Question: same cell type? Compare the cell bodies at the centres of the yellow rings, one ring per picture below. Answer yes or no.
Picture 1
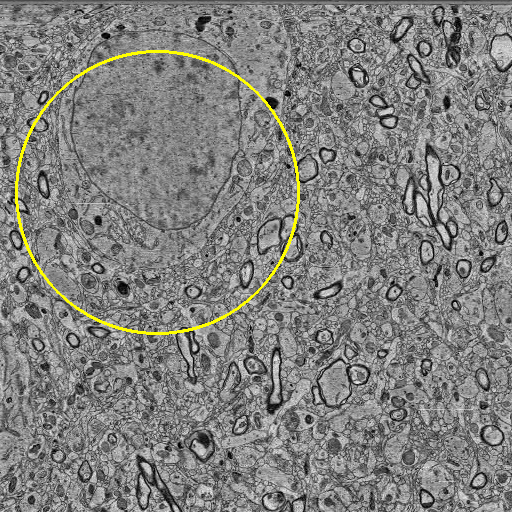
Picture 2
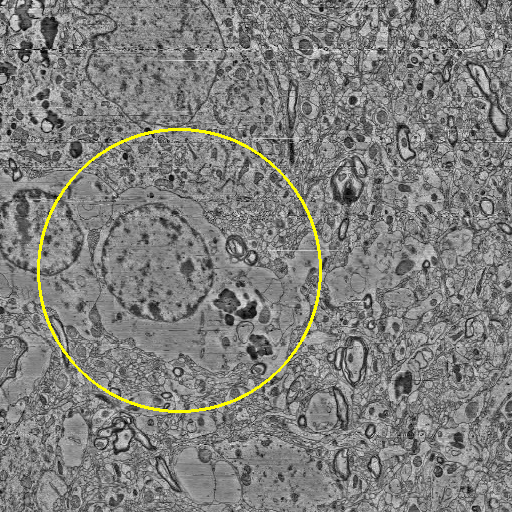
no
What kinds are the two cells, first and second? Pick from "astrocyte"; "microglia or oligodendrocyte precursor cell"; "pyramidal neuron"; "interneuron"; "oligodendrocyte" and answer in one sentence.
The second picture holds an astrocyte in its ring, and the first holds a pyramidal neuron.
